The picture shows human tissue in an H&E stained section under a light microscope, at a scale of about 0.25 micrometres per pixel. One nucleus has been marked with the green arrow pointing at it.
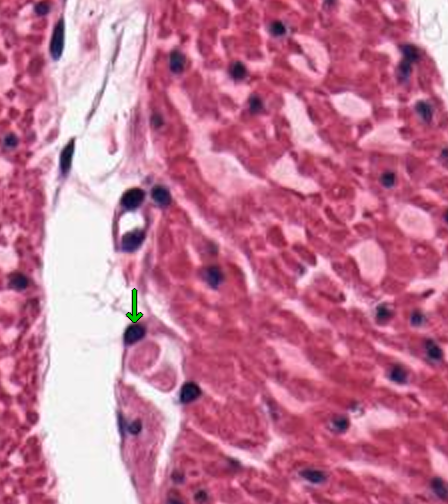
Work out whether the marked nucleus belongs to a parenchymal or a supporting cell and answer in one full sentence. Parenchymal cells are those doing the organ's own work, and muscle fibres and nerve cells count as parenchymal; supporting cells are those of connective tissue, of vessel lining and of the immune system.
The indicated nucleus in this section belongs to a supporting cell.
